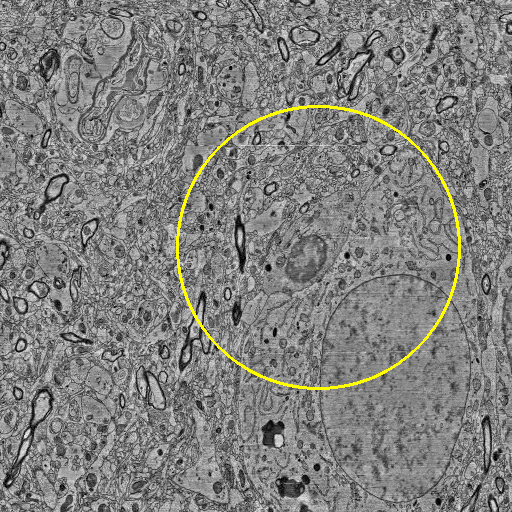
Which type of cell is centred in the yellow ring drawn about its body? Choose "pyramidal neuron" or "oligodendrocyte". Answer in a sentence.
The yellow ring surrounds the cell body of an oligodendrocyte.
